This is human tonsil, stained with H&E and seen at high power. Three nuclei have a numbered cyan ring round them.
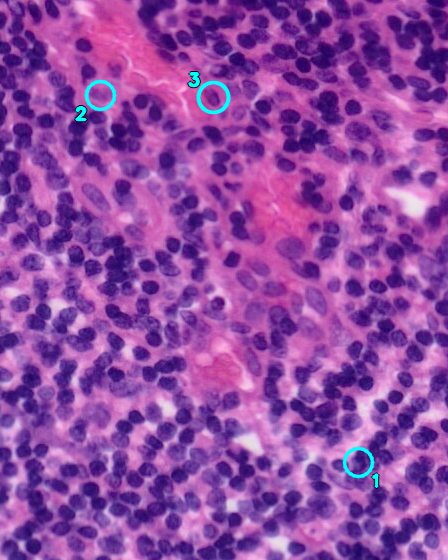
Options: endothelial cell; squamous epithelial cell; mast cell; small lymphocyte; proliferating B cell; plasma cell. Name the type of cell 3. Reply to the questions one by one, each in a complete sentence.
The cell pointed out by number 3 is an endothelial cell.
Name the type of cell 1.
The nucleus with number 1 is that of a small lymphocyte.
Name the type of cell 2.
The cell bearing label 2 corresponds to an endothelial cell.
